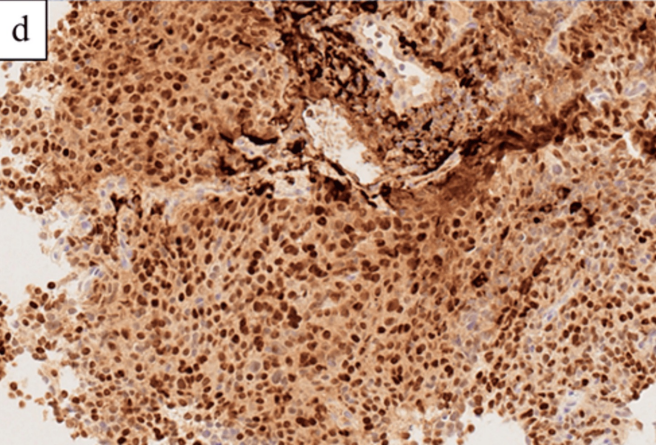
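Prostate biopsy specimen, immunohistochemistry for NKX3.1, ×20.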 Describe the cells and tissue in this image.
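The tumor cells here form solid, crowded sheets, and almost all of their nuclei are stained brown, many intensely dark brown, while the cytoplasm shows a lighter brown tint. Nuclei are round to oval and vary in size. A few scattered cells with pale blue nuclei remain unstained. Between the sheets, strands of stroma and small vessels appear, with some darker brown staining deposited along the fibrous strands near the center. No glands are formed; the staining is diffuse across the whole population of tumor cells.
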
